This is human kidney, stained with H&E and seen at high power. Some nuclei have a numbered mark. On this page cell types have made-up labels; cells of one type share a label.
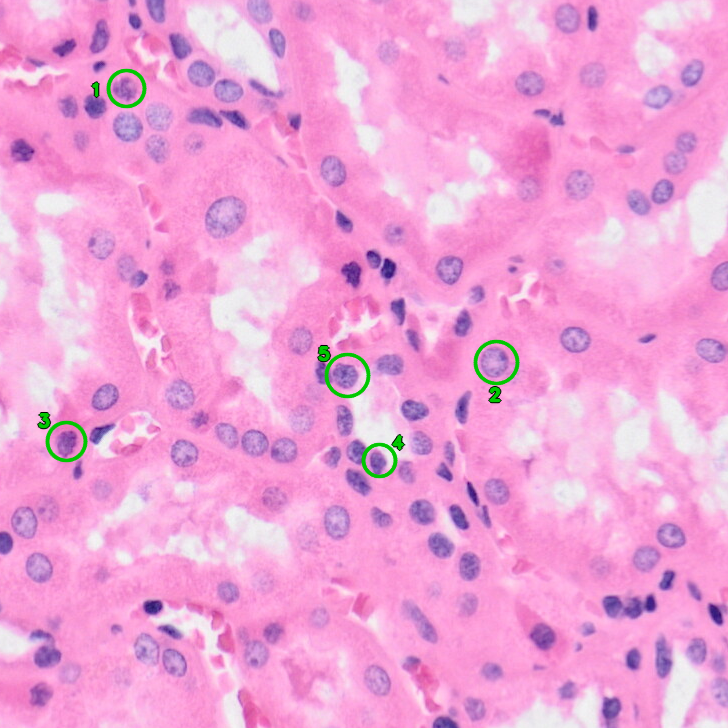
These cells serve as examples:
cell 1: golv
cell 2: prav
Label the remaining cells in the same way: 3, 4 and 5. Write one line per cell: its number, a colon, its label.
3: prav
4: golv
5: golv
